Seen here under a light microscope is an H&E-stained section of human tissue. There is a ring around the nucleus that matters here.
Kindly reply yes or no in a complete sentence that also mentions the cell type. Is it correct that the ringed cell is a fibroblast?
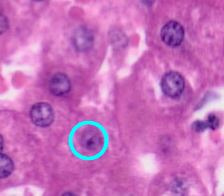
No, the ringed cell is to be identified as a hepatocyte, not a fibroblast.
